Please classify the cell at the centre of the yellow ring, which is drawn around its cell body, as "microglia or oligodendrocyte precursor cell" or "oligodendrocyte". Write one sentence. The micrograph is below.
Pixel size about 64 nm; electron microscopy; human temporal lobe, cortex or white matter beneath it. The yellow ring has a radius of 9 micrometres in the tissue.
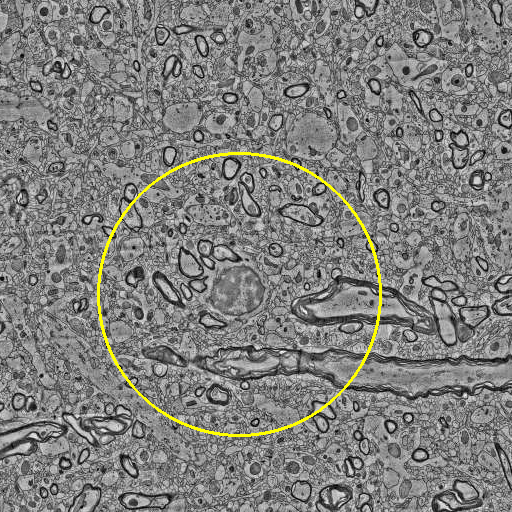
The cell at the ring's centre is classified as an oligodendrocyte.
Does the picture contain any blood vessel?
No, no blood vessel shows in the picture.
